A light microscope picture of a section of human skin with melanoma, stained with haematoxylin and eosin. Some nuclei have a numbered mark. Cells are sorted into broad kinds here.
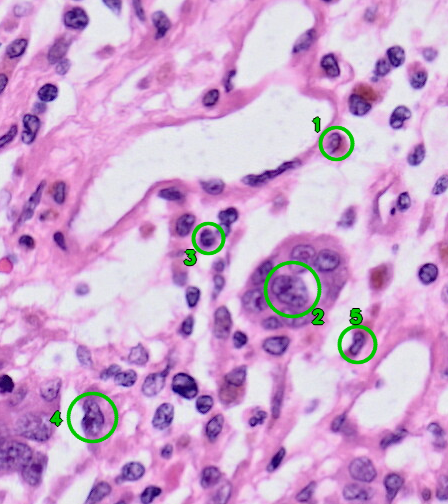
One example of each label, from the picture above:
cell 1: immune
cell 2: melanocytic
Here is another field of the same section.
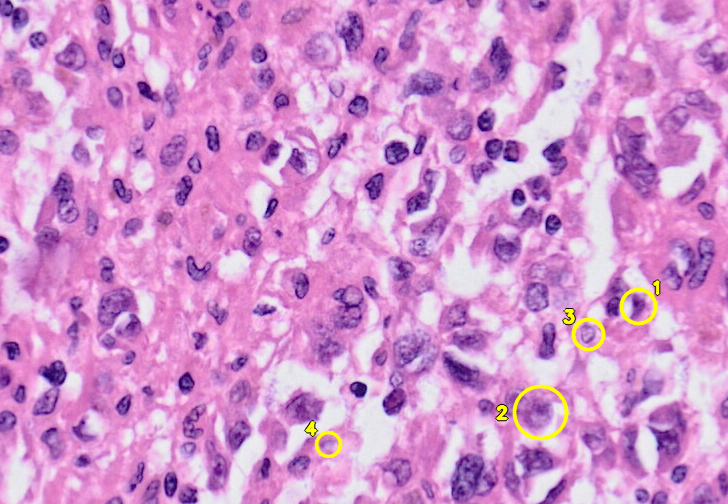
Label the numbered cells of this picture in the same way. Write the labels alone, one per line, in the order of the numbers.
melanocytic
melanocytic
immune
immune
